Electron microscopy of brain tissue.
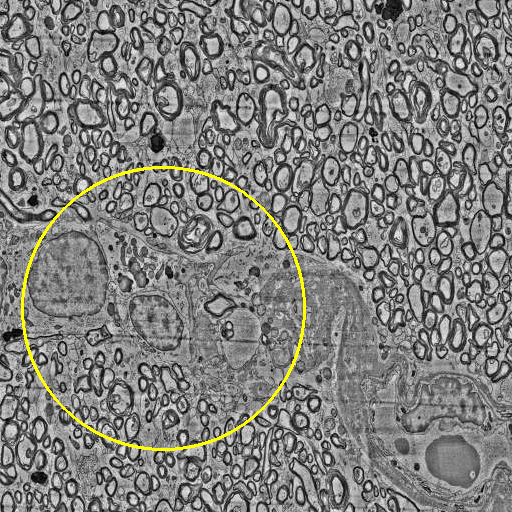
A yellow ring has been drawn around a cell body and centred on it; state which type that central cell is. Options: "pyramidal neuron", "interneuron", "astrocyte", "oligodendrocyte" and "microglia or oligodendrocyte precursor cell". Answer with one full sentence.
The cell at the middle of the yellow ring is a microglial cell or oligodendrocyte precursor cell in this picture.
